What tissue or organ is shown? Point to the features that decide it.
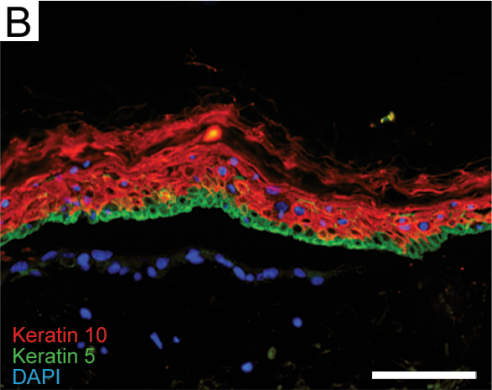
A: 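A stratified epithelial sheet runs across the panel above a loose layer with scattered nuclei. The uppermost red layers are thin, flaky and lift off as strands. On this evidence: skin.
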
